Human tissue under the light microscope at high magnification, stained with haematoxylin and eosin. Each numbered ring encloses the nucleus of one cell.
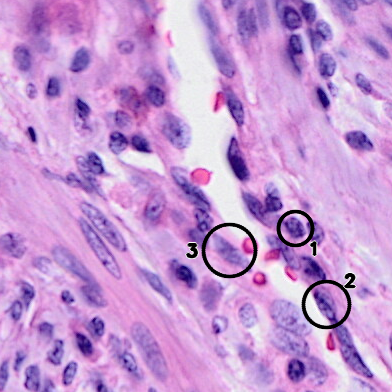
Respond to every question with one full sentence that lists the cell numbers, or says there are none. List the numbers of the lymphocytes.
Just the cell marked 1 is a lymphocyte; none of the other marked cells is.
